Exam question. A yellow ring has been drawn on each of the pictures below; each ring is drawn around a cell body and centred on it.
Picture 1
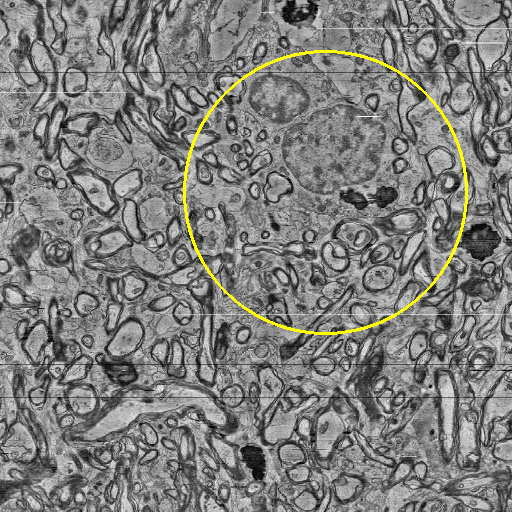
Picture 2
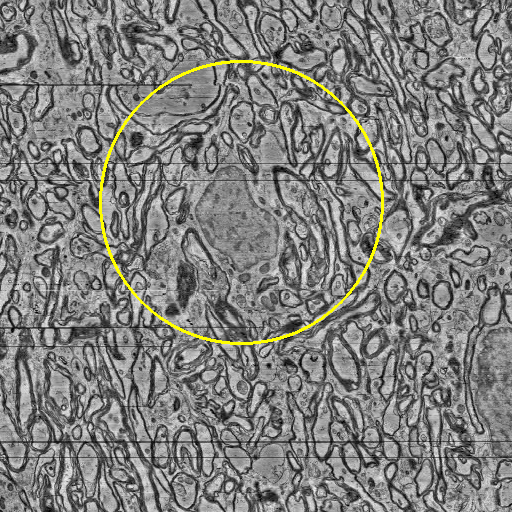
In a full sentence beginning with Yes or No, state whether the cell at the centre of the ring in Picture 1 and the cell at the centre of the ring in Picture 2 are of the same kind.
Yes, the two cells are of the same kind.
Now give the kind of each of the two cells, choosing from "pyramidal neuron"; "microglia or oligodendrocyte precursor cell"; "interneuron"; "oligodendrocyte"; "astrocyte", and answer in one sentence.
Both the first and the second picture show an oligodendrocyte in the ring.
